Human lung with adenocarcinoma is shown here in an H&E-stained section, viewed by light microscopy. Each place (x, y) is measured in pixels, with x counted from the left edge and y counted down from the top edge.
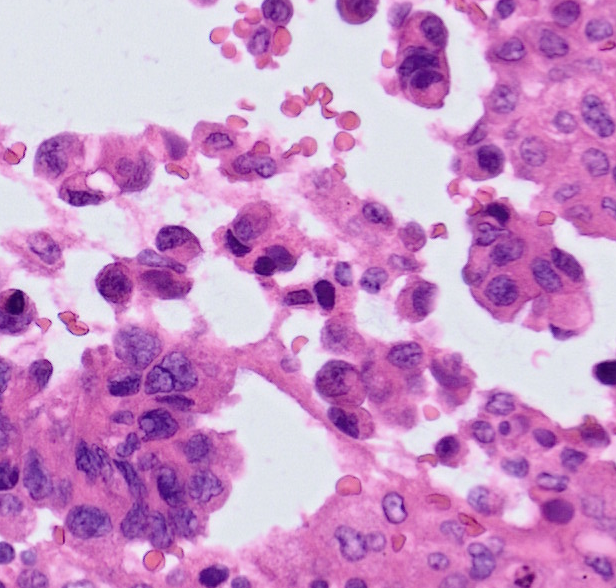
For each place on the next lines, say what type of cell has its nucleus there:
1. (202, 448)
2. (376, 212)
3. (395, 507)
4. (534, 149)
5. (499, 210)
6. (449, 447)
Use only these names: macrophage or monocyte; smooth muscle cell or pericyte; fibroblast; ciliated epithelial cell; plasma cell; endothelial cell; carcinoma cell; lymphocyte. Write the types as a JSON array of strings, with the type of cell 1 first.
["carcinoma cell", "macrophage or monocyte", "macrophage or monocyte", "macrophage or monocyte", "carcinoma cell", "macrophage or monocyte"]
